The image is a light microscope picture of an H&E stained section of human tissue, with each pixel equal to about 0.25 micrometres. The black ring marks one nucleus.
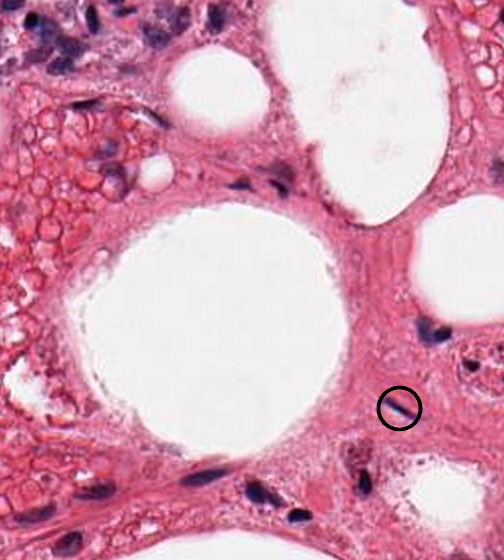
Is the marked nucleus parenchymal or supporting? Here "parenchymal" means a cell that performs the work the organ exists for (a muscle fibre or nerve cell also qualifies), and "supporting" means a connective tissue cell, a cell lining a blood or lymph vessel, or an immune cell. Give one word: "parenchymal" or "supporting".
supporting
